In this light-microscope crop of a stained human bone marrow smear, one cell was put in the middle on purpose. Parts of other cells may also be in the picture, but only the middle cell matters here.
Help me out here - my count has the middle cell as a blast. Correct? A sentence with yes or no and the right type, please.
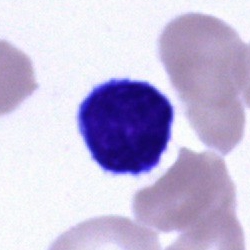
No, in the centre of the crop lies a lymphocyte, not a blast.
